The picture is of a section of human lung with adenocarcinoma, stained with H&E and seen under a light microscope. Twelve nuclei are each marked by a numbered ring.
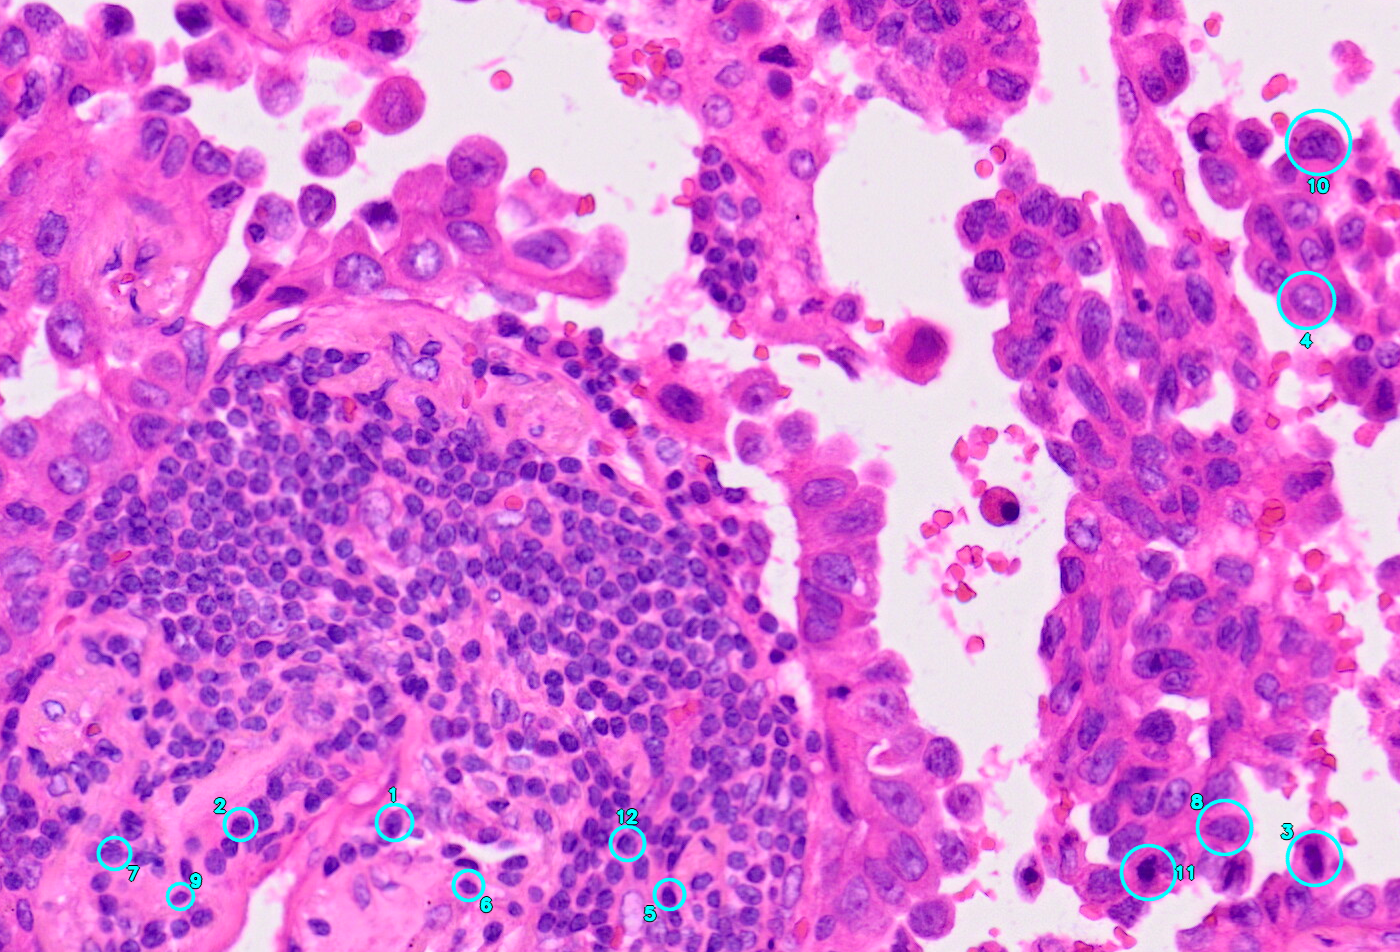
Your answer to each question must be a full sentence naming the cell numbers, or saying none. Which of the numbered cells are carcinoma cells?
Cells numbered 3, 4, 8, 10 and 11 belong to the group of carcinoma cells.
